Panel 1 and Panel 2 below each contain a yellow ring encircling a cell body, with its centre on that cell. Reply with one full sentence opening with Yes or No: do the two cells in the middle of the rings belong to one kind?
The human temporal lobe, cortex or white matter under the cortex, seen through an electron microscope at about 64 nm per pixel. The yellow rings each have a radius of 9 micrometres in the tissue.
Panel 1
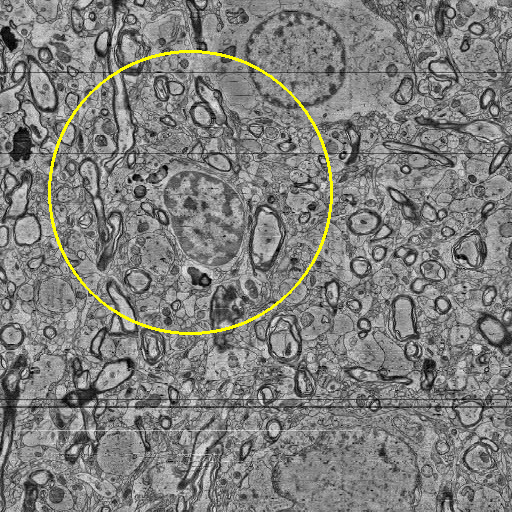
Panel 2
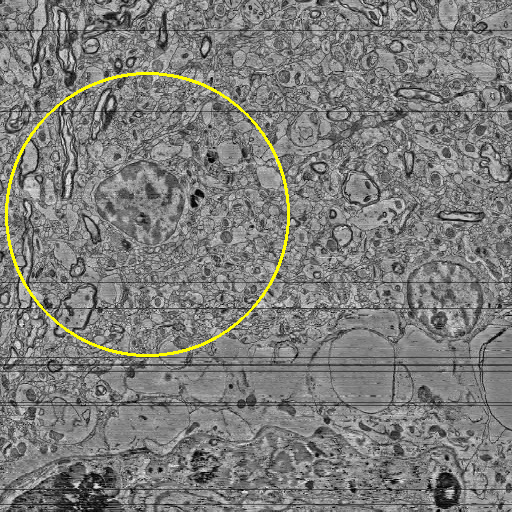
Yes, the cells at the middle of the Panel 1 ring and the Panel 2 ring are of one kind.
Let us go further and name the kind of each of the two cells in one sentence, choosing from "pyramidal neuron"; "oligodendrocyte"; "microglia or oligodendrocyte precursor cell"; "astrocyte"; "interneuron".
Each cell at the centre of a ring is a microglial cell or oligodendrocyte precursor cell.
